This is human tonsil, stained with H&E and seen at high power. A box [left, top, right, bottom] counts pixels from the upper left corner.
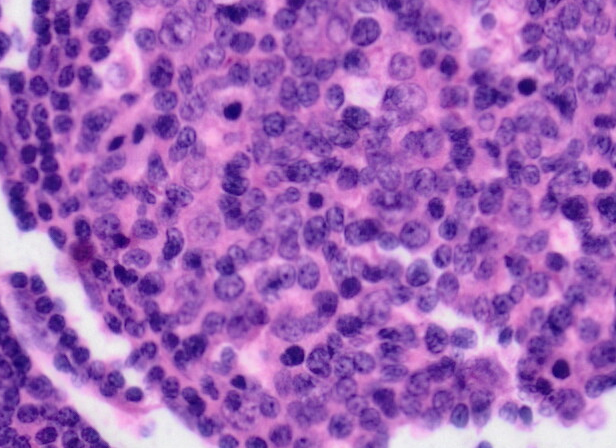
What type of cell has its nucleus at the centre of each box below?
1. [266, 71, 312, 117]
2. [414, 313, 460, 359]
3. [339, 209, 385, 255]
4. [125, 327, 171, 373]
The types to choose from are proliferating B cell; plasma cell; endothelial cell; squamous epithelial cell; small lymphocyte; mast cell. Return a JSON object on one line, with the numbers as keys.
{"1": "proliferating B cell", "2": "proliferating B cell", "3": "proliferating B cell", "4": "small lymphocyte"}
